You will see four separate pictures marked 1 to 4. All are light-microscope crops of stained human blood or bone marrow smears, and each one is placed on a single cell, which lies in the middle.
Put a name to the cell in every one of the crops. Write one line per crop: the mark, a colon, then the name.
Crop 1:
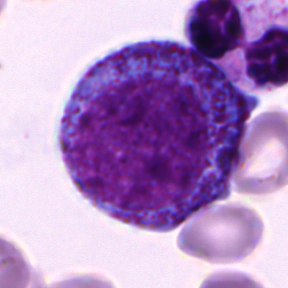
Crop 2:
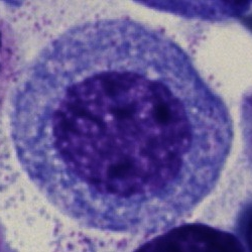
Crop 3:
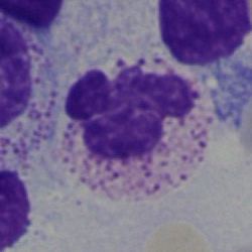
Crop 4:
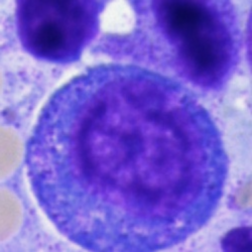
1: promyelocyte
2: promyelocyte
3: basophil
4: promyelocyte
